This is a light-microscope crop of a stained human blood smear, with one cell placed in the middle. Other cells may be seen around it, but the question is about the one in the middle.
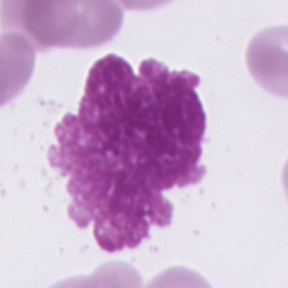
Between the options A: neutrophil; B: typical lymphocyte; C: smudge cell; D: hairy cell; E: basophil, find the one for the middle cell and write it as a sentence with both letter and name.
Of the options given, C is correct, the central cell being a smudge cell.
